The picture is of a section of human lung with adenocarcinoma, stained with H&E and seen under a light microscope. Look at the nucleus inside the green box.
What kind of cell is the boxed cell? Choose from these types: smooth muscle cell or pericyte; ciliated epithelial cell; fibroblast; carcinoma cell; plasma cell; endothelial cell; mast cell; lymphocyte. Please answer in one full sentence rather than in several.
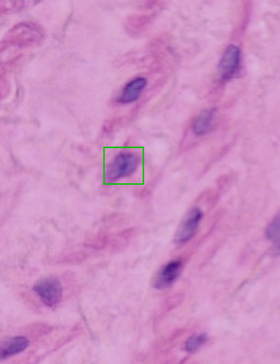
The identity of the boxed cell is that of a smooth muscle cell or pericyte.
